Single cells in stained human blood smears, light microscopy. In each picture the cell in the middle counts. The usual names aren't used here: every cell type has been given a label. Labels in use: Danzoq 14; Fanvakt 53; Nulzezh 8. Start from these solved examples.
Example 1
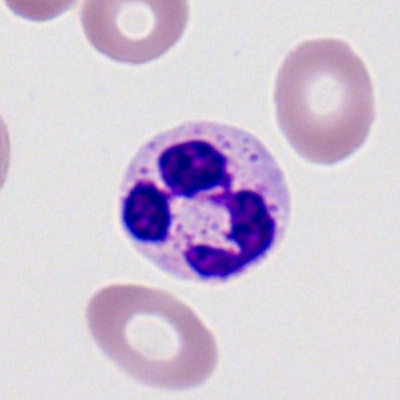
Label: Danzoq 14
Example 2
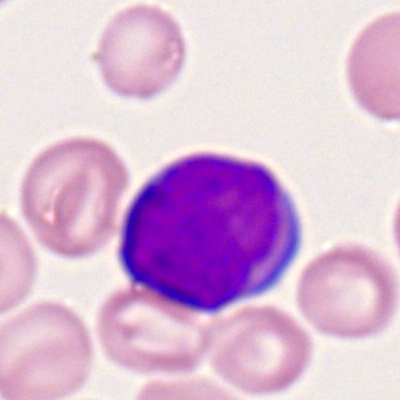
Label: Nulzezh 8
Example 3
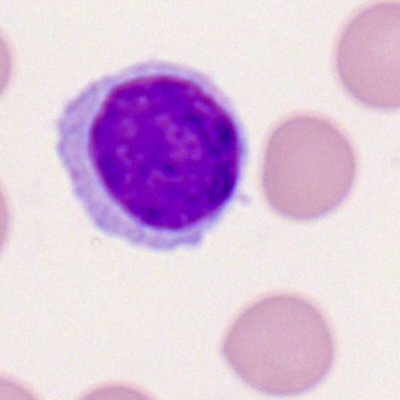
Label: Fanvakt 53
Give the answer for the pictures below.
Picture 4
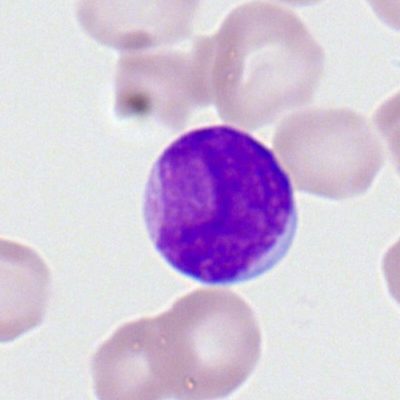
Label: Nulzezh 8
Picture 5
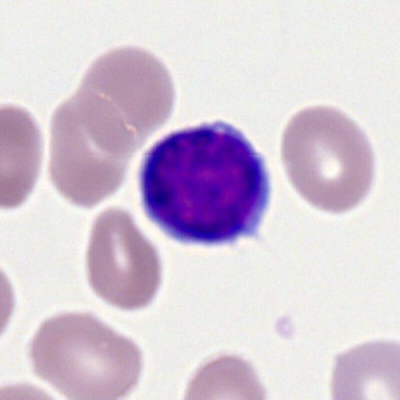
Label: Fanvakt 53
